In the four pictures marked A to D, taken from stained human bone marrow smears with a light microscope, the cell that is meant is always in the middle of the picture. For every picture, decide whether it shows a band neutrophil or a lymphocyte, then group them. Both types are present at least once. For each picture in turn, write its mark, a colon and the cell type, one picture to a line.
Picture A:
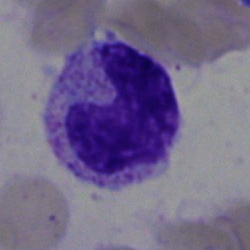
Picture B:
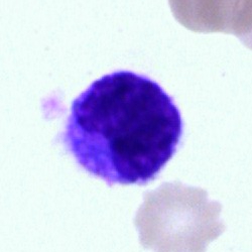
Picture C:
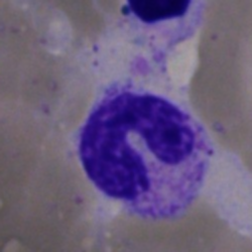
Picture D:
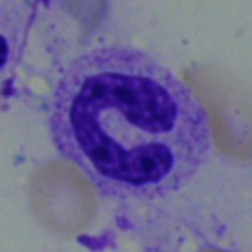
A: band neutrophil
B: lymphocyte
C: band neutrophil
D: band neutrophil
